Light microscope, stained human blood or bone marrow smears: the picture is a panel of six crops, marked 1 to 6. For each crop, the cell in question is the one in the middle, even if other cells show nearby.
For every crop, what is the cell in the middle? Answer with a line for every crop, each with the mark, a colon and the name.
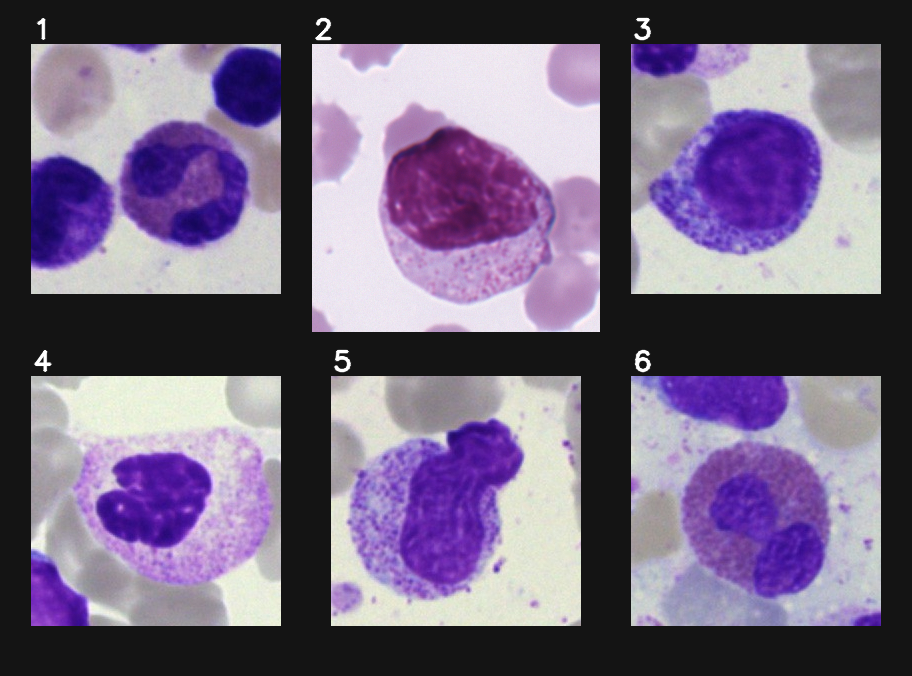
1: eosinophil
2: myelocyte
3: myelocyte
4: segmented neutrophil
5: myelocyte
6: eosinophil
